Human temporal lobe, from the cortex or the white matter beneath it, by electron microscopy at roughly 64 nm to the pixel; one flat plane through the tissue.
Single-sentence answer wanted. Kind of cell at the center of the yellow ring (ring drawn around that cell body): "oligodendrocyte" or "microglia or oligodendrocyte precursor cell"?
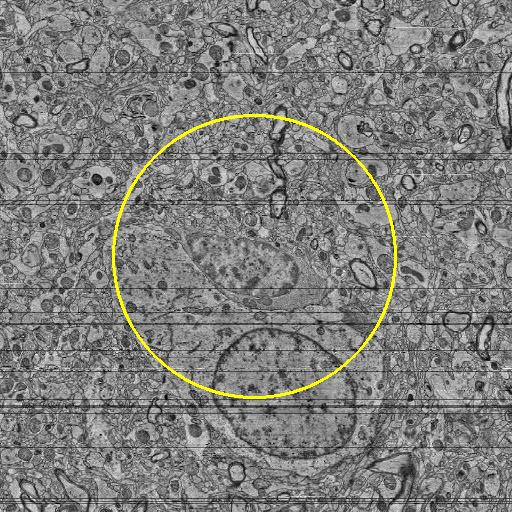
The cell centered in the ring is an oligodendrocyte.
